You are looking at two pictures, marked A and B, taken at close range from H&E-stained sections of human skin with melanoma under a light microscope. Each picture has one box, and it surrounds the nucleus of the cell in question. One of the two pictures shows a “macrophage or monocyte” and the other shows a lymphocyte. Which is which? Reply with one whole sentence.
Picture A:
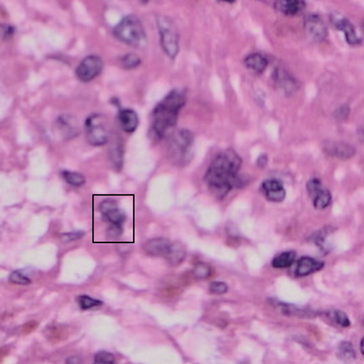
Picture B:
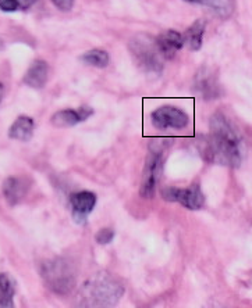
It is picture A that shows a “macrophage or monocyte”, and picture B that shows a lymphocyte.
